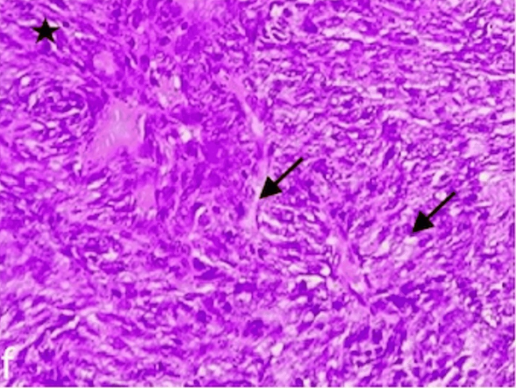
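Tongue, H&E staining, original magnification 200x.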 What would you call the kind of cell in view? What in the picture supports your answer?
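Fusiform cells. Most nuclei are elongated and spindle-shaped. Cells run in streaming, interlacing bundles.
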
